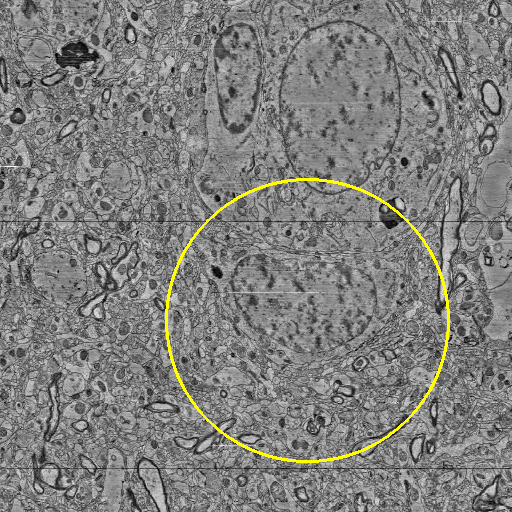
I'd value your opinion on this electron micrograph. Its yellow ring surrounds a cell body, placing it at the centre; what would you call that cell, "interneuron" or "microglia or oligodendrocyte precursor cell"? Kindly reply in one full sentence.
It is an interneuron that sits centred within the yellow ring in this micrograph.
